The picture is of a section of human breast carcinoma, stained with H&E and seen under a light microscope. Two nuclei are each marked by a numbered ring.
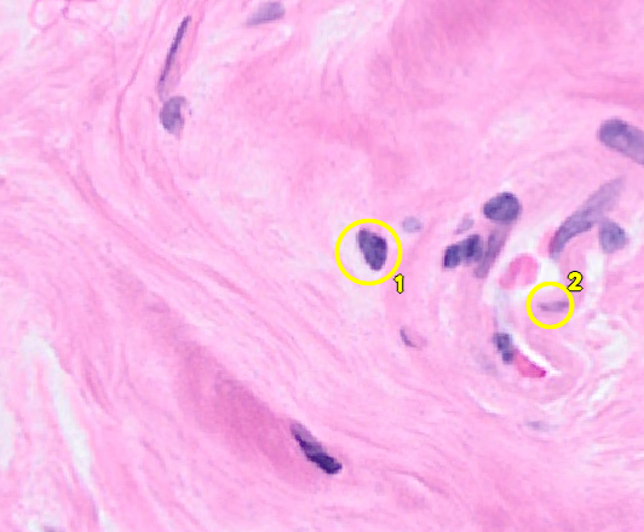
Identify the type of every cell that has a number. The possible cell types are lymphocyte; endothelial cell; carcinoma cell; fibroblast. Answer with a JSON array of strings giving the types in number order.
["lymphocyte", "endothelial cell"]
